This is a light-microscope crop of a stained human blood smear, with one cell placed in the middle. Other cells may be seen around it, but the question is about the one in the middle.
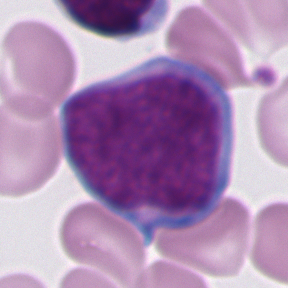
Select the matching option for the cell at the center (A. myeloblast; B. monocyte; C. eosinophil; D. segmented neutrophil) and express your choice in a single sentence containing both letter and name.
The cell in the middle is correctly identified as a myeloblast in option A.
